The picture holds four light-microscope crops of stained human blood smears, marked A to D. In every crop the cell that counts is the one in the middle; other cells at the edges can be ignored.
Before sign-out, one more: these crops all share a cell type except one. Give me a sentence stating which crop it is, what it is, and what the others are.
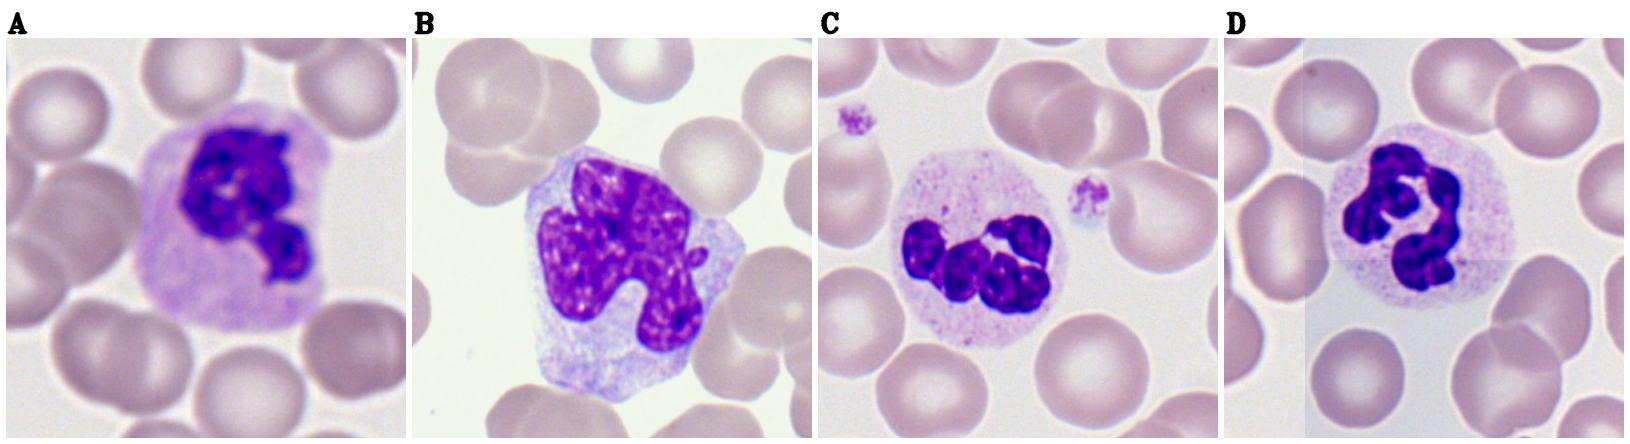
In every crop except crop B, which shows a monocyte, segmented neutrophils are shown.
